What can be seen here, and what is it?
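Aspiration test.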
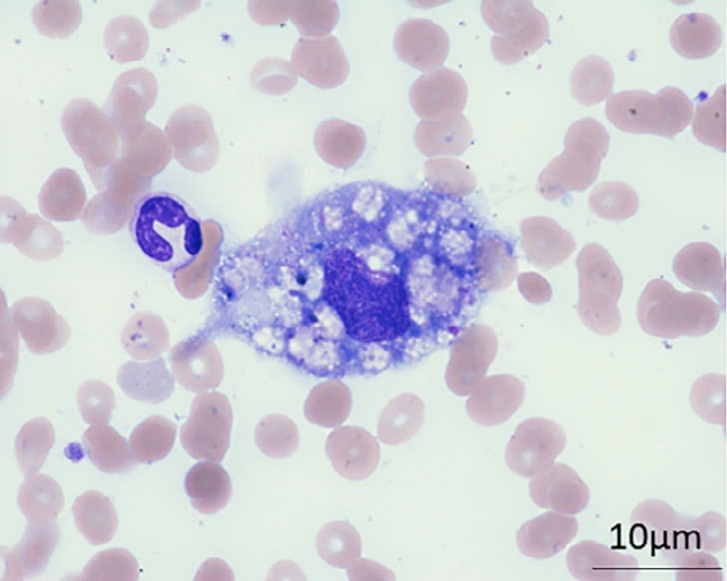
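A bone marrow smear shows a single large macrophage in the centre, surrounded by numerous red blood cells. The macrophage has one dense, purple, non-lobed nucleus and abundant pale blue-grey cytoplasm with irregular edges and short projections. Its cytoplasm is crowded with clear vacuoles, many holding pale purplish granular material. To its left lies a much smaller white blood cell with a curved, segmented nucleus and pale pink cytoplasm, the appearance of a neutrophil.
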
